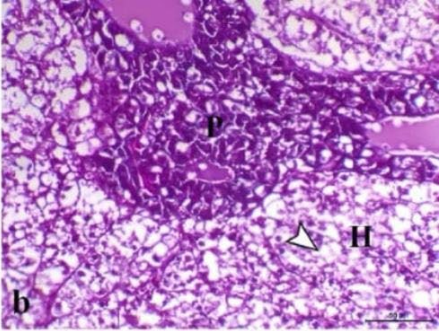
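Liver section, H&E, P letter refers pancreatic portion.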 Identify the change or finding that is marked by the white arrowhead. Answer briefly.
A: severe vacuolation of hepatocytes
